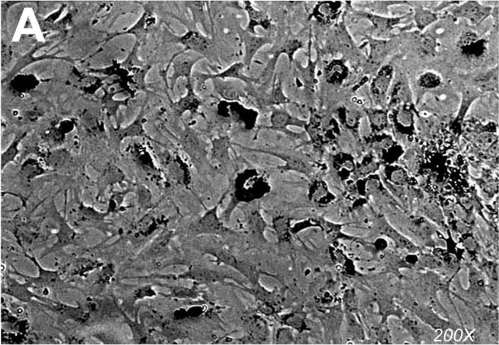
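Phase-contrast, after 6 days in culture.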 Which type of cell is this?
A: retinal pigment epithelium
